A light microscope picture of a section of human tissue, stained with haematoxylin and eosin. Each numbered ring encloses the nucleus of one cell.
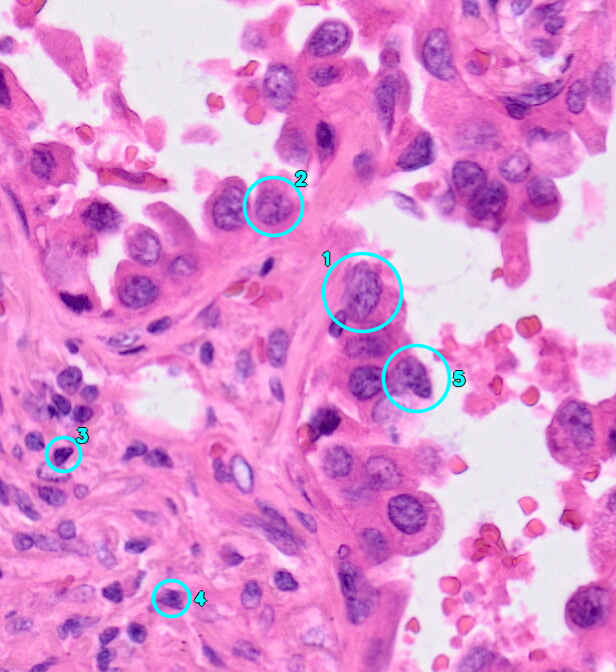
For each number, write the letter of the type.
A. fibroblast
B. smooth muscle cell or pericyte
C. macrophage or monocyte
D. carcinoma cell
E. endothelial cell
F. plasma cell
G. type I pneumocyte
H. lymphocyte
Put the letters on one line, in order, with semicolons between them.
D; D; H; H; D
